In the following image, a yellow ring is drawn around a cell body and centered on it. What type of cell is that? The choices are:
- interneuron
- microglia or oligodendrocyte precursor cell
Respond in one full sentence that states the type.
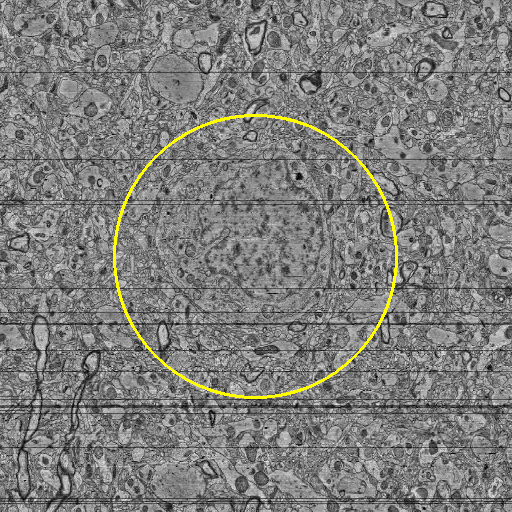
The cell at the center of the yellow ring in the image is an interneuron.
